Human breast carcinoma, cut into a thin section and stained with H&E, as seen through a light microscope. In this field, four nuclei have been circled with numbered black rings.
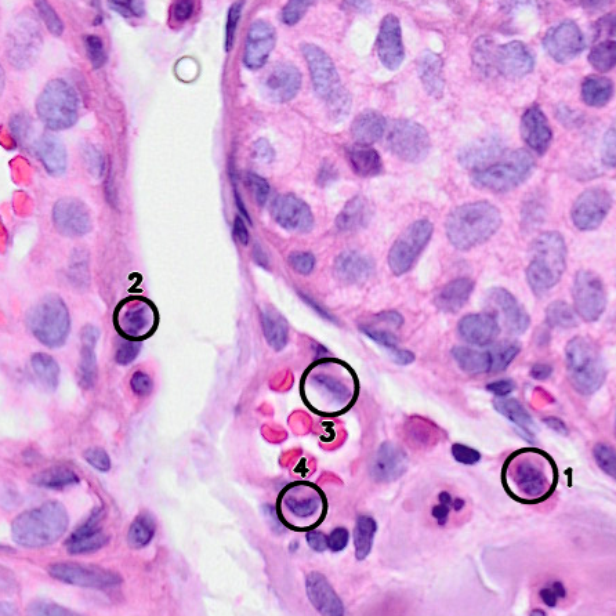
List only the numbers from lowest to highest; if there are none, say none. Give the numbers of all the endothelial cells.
2, 3, 4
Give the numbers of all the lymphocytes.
none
